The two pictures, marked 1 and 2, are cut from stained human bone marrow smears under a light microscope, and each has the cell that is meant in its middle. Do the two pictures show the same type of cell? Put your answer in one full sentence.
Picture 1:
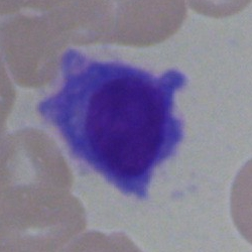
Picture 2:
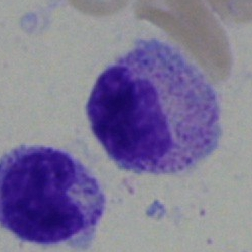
No. Picture 1 shows a plasma cell, but picture 2 shows a myelocyte.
